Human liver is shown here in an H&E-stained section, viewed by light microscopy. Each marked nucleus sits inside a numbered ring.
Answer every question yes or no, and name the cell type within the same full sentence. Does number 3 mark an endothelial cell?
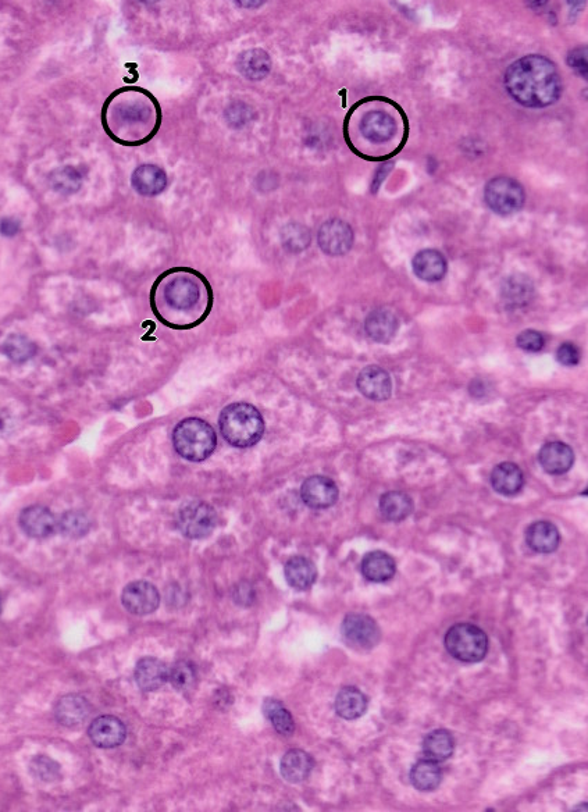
Yes, the one numbered 3 is an endothelial cell.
